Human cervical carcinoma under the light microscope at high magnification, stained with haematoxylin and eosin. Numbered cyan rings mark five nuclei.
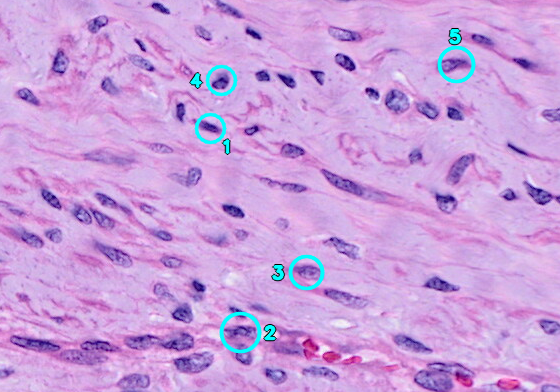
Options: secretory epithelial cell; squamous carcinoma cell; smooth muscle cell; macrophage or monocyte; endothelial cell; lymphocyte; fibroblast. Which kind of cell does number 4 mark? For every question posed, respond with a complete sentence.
The cell bearing label 4 corresponds to a fibroblast.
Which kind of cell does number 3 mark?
Cell 3 of the marked set is a smooth muscle cell.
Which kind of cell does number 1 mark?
The label 1 in this section denotes a smooth muscle cell.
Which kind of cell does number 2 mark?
The cell referred to as 2 is an endothelial cell.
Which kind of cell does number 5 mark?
Number 5 is placed on a smooth muscle cell here.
